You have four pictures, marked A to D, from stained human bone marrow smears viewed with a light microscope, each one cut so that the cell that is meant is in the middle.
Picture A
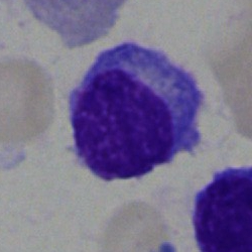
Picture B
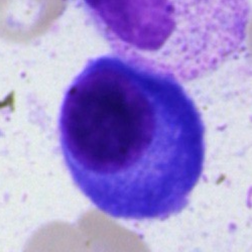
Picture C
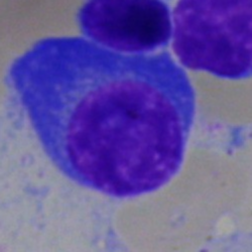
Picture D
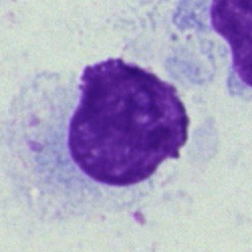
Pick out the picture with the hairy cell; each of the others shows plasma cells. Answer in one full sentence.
Picture D shows the hairy cell.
